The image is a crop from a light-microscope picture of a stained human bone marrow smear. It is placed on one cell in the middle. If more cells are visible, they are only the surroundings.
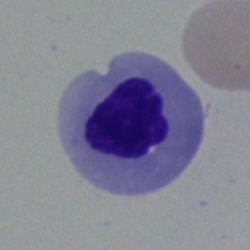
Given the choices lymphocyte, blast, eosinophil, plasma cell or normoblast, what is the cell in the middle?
normoblast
